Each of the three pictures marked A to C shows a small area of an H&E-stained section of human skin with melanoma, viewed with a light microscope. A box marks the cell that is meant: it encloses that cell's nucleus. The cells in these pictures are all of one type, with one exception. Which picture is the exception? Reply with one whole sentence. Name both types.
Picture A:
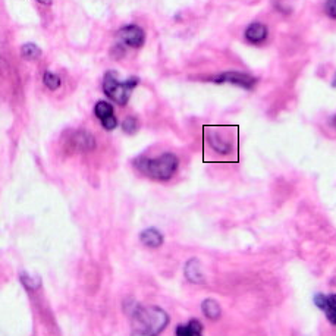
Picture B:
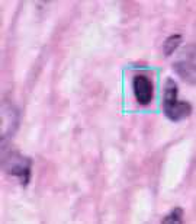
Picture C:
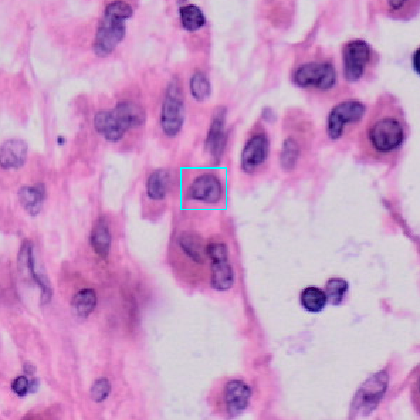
The others show “macrophages or monocytes”, but picture B shows a plasma cell.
